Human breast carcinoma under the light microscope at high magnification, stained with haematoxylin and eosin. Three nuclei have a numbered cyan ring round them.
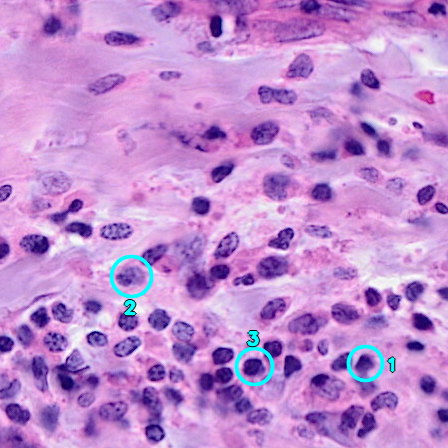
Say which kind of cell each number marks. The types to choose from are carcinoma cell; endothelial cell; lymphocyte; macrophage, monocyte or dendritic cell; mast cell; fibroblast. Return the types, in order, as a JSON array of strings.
["lymphocyte", "mast cell", "lymphocyte"]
